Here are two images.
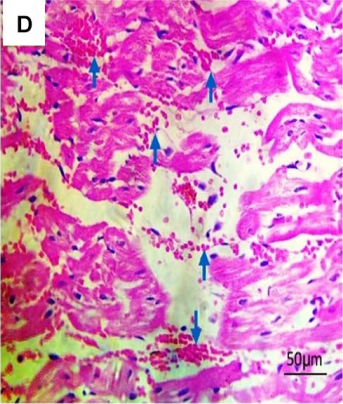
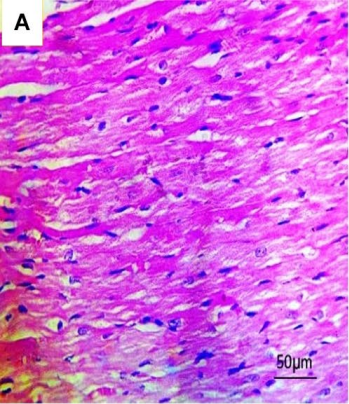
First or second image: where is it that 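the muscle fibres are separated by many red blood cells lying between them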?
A: the first image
